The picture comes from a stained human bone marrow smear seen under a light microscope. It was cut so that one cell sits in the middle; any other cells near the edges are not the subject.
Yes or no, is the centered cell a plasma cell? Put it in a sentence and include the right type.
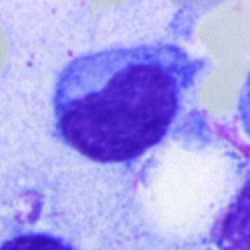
No, the cell of interest here is a hairy cell and not a plasma cell.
